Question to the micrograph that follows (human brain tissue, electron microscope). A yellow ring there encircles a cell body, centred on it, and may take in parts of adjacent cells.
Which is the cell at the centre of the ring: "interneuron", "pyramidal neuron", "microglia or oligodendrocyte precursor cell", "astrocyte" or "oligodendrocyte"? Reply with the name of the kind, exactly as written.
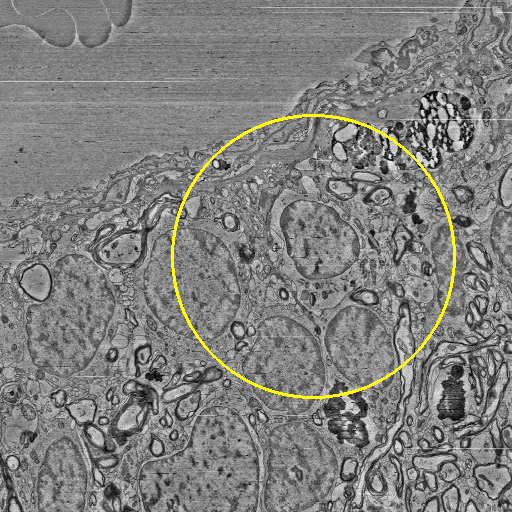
microglia or oligodendrocyte precursor cell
